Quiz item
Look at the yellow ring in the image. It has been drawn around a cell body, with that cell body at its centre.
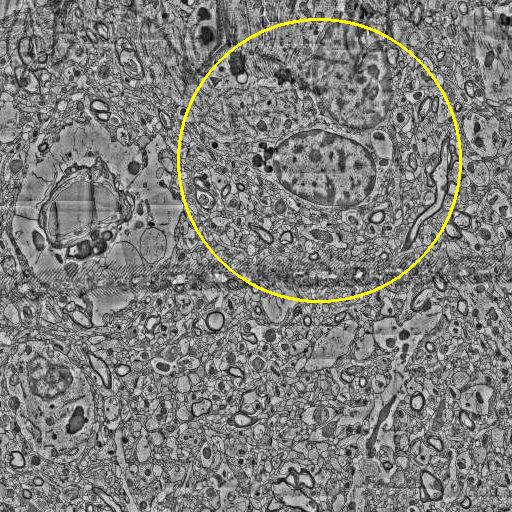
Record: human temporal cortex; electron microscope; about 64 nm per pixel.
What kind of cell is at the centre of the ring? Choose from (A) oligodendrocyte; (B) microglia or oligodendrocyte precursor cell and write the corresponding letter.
B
